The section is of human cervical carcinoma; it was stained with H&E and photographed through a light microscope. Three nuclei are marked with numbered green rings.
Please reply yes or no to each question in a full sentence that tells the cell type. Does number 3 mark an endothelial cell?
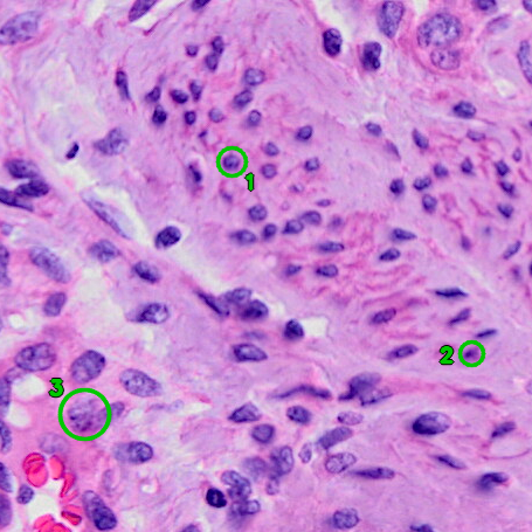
Yes, cell number 3 is classified as an endothelial cell.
